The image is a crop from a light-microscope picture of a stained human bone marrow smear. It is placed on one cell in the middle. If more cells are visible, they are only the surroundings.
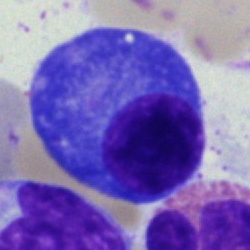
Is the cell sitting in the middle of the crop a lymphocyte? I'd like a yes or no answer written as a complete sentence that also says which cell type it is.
No, the central cell is not to be called a lymphocyte, being a plasma cell.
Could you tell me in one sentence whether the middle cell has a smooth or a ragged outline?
You can see a smooth boundary, with no projections sticking out.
